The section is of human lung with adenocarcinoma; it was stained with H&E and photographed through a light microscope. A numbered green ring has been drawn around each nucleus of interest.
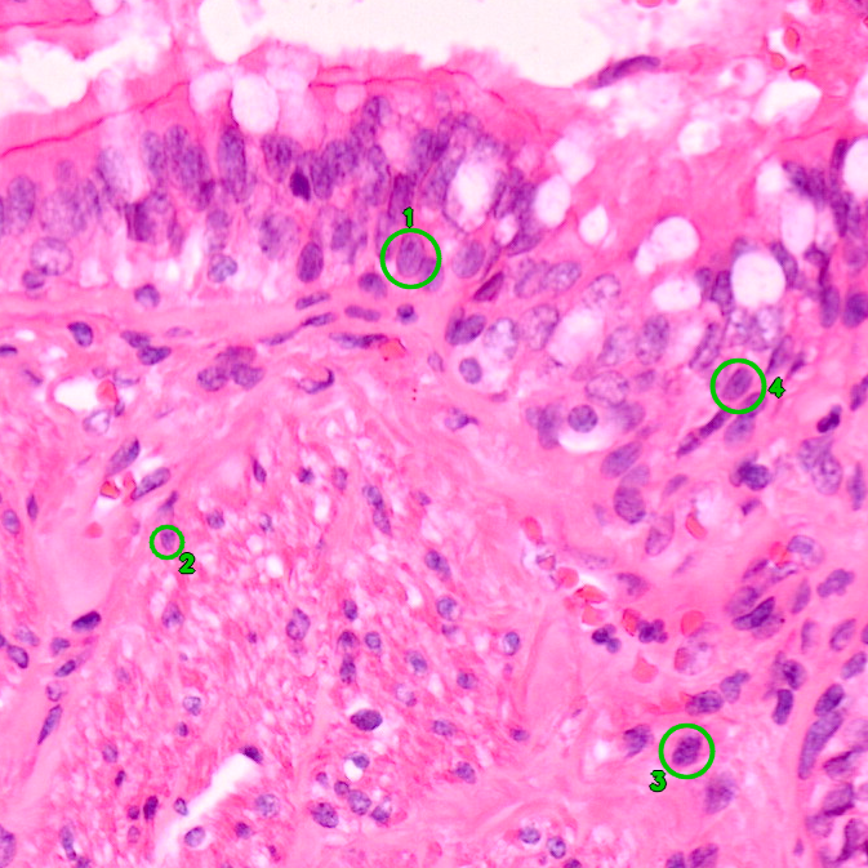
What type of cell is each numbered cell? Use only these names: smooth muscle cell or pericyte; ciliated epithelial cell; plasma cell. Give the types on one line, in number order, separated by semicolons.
ciliated epithelial cell; smooth muscle cell or pericyte; plasma cell; ciliated epithelial cell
